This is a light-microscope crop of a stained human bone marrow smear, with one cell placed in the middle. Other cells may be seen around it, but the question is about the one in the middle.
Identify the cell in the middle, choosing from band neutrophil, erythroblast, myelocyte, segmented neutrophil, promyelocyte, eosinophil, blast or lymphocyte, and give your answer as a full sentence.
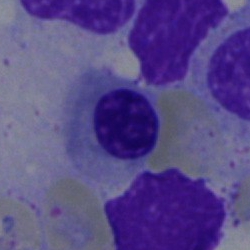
The middle position in this crop is taken by an erythroblast.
